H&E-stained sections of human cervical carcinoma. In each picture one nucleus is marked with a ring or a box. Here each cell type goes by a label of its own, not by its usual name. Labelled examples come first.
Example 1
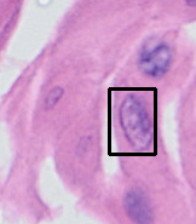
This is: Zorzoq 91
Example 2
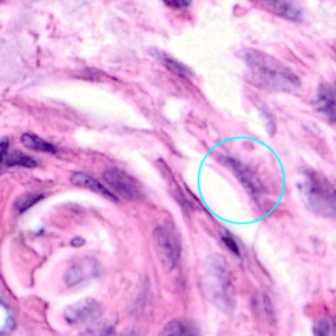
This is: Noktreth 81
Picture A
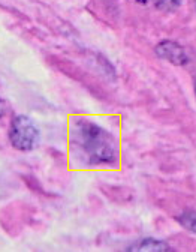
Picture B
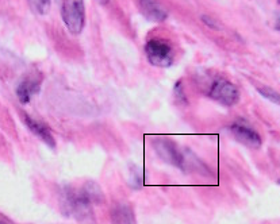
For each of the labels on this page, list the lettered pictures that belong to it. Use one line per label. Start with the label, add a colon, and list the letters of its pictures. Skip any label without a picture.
Noktreth 81: A, B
